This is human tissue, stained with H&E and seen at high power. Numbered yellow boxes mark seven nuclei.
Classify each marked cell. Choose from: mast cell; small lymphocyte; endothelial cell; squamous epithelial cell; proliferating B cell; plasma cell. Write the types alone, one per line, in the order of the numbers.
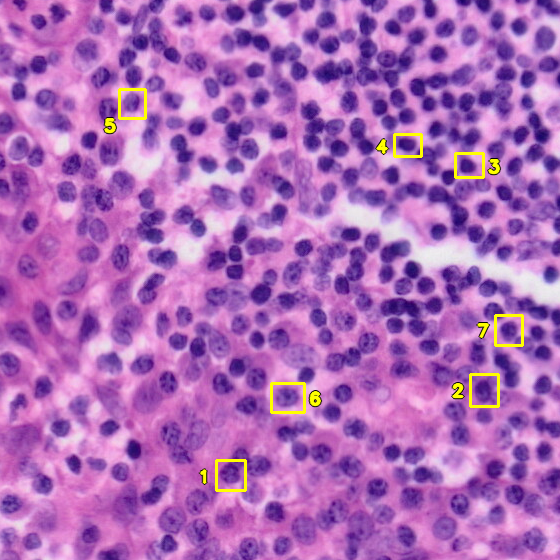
plasma cell
plasma cell
small lymphocyte
small lymphocyte
plasma cell
plasma cell
small lymphocyte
